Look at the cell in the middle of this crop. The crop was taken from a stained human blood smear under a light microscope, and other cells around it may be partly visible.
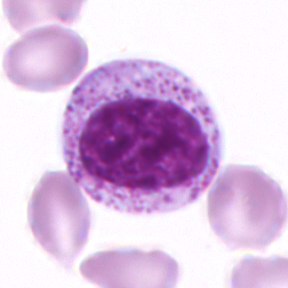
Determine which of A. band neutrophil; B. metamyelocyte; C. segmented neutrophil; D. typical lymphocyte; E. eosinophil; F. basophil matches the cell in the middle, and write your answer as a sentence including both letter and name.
Option B holds up: the cell in the middle is a metamyelocyte.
